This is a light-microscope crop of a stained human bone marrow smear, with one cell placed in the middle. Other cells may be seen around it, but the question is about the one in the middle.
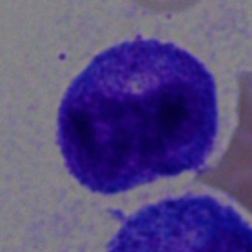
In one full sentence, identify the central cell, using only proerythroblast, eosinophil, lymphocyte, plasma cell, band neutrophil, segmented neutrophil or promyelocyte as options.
The cell at the centre of the field is a promyelocyte.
